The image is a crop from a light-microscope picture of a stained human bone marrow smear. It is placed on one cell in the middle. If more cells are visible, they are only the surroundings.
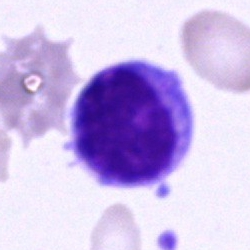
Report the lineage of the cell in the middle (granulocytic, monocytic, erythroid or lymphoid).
lymphoid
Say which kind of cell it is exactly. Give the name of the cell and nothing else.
lymphocyte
